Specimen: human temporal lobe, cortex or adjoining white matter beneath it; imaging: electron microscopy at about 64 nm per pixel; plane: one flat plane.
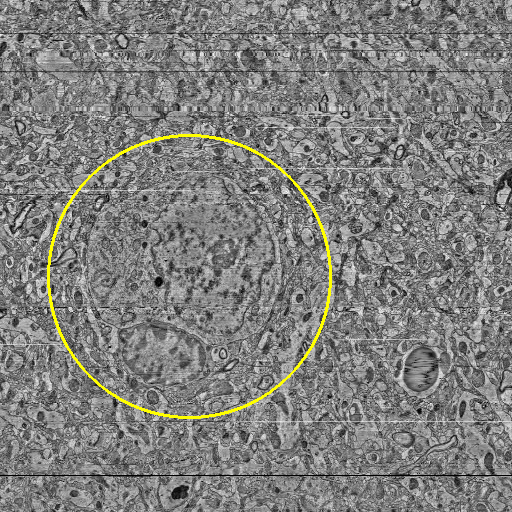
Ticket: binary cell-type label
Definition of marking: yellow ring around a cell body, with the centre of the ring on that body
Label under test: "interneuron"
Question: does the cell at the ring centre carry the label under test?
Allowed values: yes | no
yes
